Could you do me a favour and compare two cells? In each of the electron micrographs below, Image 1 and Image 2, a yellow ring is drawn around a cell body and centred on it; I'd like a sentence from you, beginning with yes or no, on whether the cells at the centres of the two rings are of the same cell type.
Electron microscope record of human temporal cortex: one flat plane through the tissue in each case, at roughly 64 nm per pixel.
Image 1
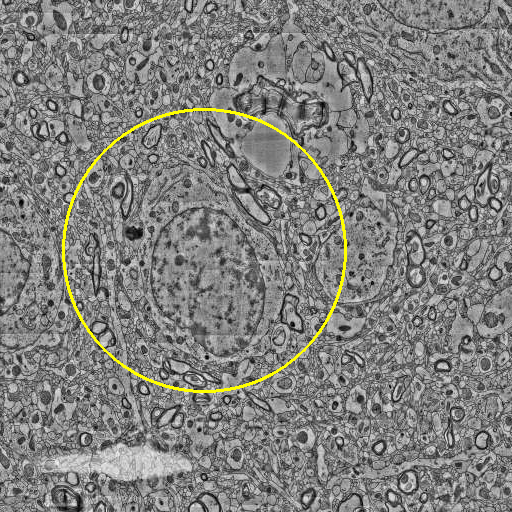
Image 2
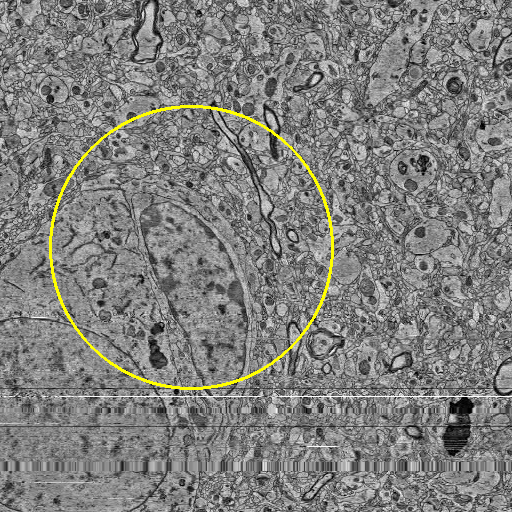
No, the two cells are of two cell types.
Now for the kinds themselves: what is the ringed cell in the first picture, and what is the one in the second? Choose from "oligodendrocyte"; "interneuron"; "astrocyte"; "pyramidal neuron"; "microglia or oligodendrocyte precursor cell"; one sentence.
Here the first cell is an interneuron and the second cell is a microglial cell or oligodendrocyte precursor cell.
